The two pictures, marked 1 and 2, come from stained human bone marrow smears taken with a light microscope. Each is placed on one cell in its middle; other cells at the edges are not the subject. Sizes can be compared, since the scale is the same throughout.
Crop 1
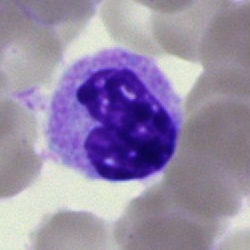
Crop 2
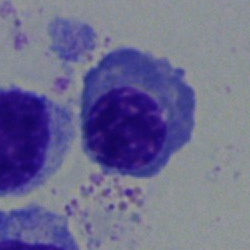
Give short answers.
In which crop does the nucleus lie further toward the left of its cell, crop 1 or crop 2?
2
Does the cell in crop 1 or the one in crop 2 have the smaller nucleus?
2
